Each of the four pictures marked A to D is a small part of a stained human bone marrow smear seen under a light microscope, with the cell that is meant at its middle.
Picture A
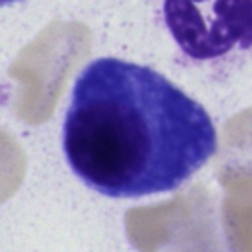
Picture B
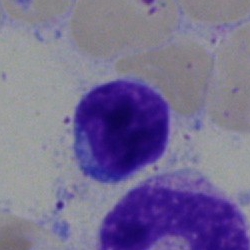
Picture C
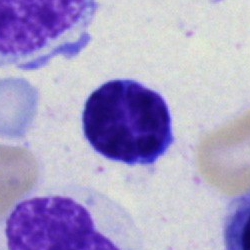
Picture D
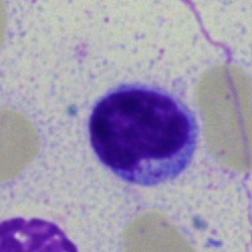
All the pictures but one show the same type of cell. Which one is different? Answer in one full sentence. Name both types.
Unlike the rest, which show lymphocytes, picture A shows a plasma cell.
